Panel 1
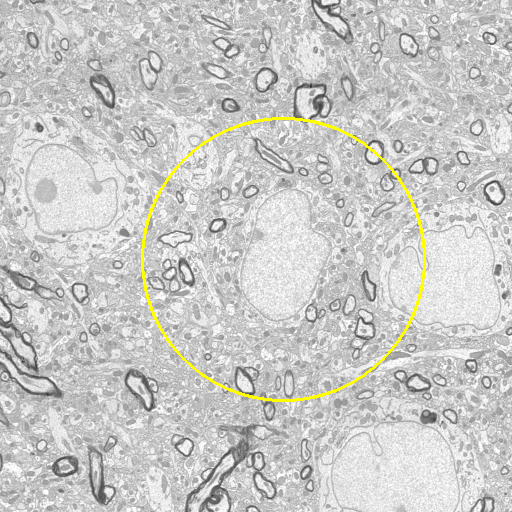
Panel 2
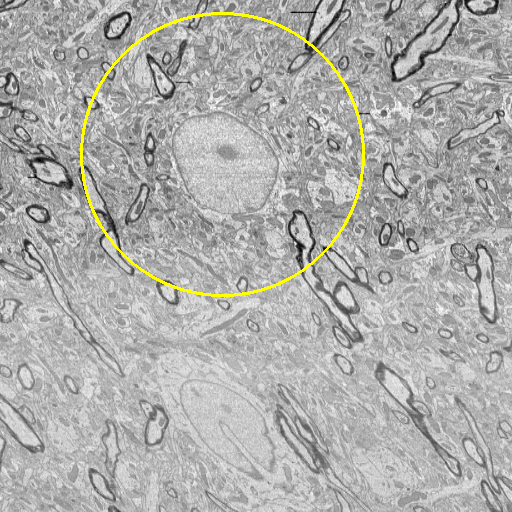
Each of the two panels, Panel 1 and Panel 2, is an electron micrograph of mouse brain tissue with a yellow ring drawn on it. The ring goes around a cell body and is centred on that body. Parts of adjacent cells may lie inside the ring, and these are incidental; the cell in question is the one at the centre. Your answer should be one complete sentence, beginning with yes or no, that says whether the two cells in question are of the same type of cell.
Yes, the two cells are of the same type.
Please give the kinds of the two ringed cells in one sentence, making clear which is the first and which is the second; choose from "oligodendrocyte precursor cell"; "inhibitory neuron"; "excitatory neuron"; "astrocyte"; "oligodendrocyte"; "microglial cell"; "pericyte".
Each of the two cells is an astrocyte.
